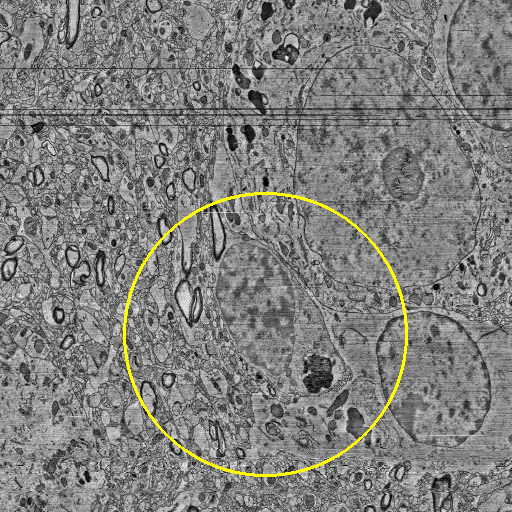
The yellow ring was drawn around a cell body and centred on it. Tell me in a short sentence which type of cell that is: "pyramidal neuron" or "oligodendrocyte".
The cell at the ring's centre is an oligodendrocyte.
